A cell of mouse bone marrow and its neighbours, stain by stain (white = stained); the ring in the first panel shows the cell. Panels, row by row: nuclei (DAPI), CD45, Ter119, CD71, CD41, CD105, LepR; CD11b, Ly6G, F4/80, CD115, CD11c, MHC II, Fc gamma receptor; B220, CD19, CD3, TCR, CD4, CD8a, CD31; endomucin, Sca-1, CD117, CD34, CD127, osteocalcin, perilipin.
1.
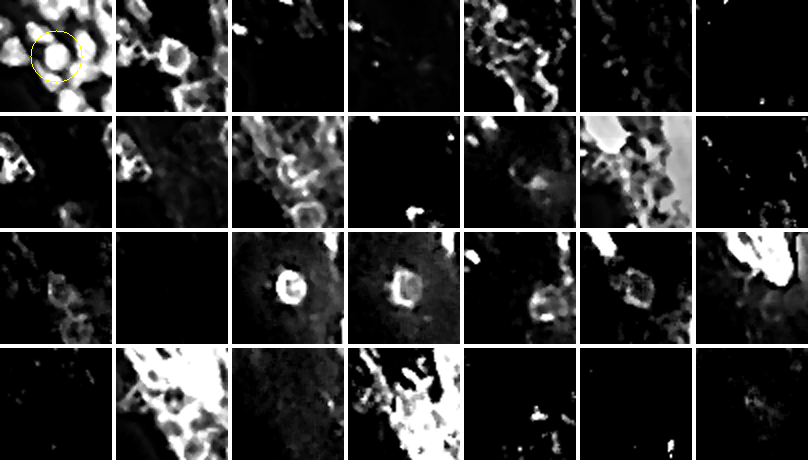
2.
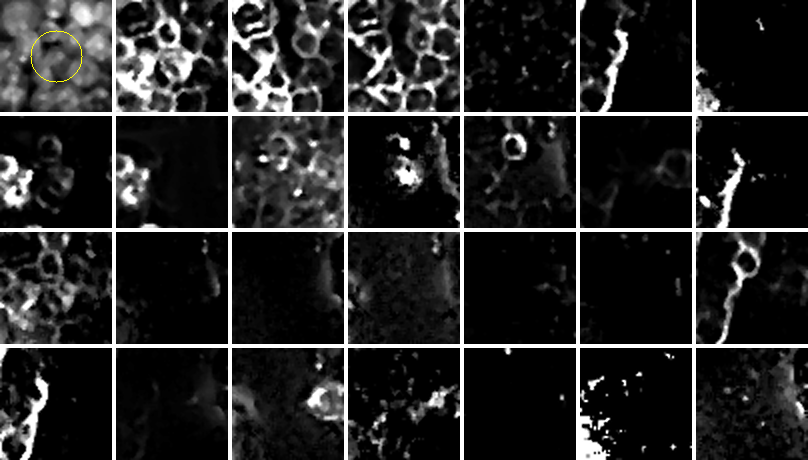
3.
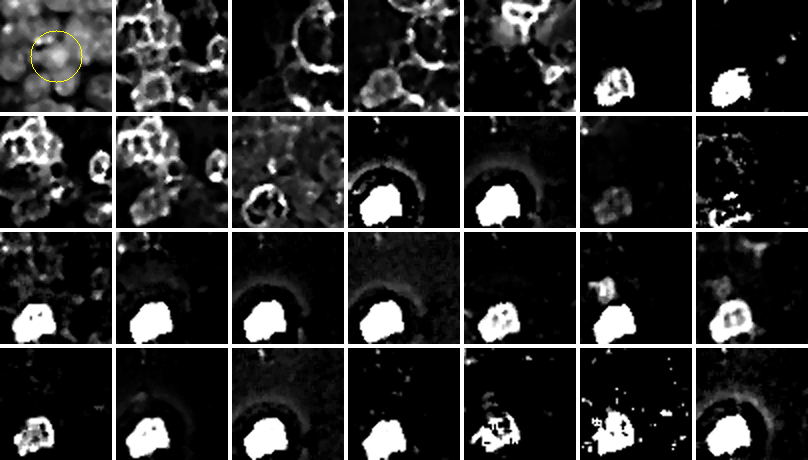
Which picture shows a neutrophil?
Picture 3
